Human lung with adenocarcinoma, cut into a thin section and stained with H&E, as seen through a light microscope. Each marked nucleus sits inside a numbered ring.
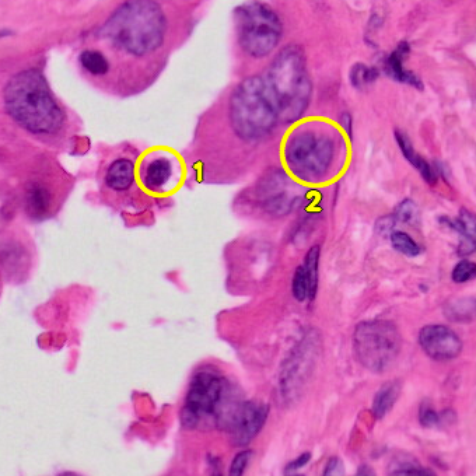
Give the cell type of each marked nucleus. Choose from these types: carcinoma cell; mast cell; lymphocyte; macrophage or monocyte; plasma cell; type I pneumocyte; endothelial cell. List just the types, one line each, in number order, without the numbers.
lymphocyte
carcinoma cell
